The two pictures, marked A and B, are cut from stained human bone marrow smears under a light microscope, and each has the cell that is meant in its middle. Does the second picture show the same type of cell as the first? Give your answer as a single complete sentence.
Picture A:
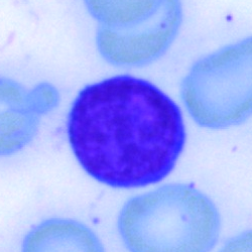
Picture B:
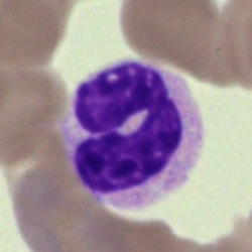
No. Picture A shows a lymphocyte, but picture B shows a segmented neutrophil.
